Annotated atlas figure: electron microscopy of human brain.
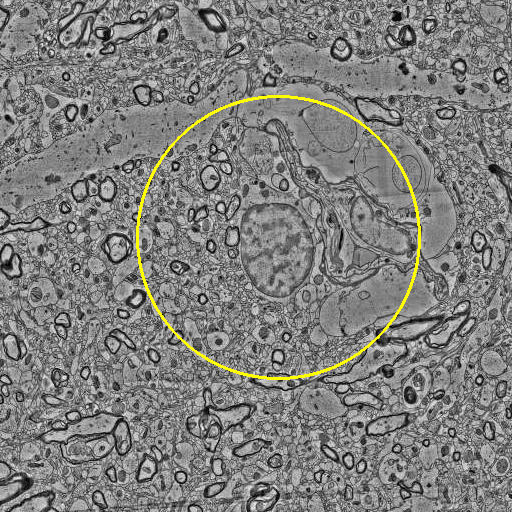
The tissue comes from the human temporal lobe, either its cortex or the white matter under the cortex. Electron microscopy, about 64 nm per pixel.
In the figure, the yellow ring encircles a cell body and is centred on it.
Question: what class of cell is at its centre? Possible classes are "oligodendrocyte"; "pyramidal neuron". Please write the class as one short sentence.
The yellow ring is drawn around an oligodendrocyte.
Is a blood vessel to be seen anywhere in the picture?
Yes, there is a blood vessel in the image.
